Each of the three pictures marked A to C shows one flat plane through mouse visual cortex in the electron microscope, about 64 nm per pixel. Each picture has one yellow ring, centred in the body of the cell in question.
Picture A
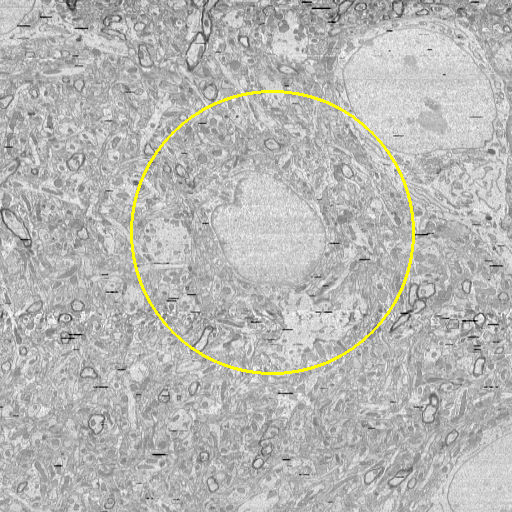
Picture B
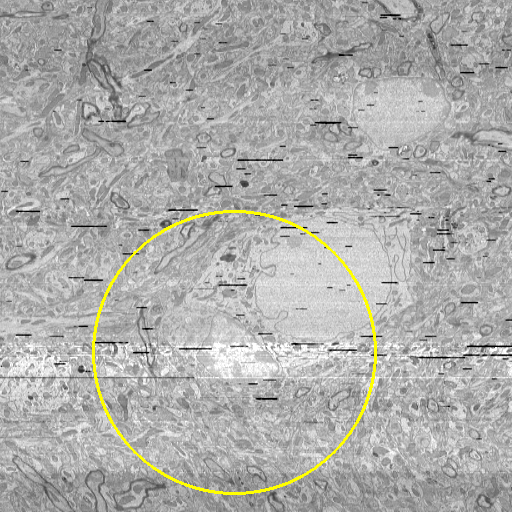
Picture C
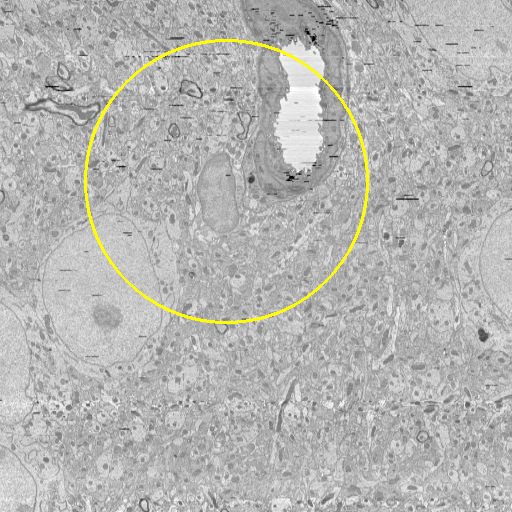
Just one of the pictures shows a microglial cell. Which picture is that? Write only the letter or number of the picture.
C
